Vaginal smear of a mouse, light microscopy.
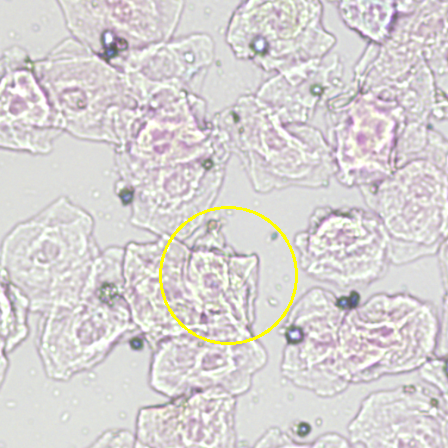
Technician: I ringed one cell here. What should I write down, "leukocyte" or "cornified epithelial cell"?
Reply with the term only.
cornified epithelial cell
